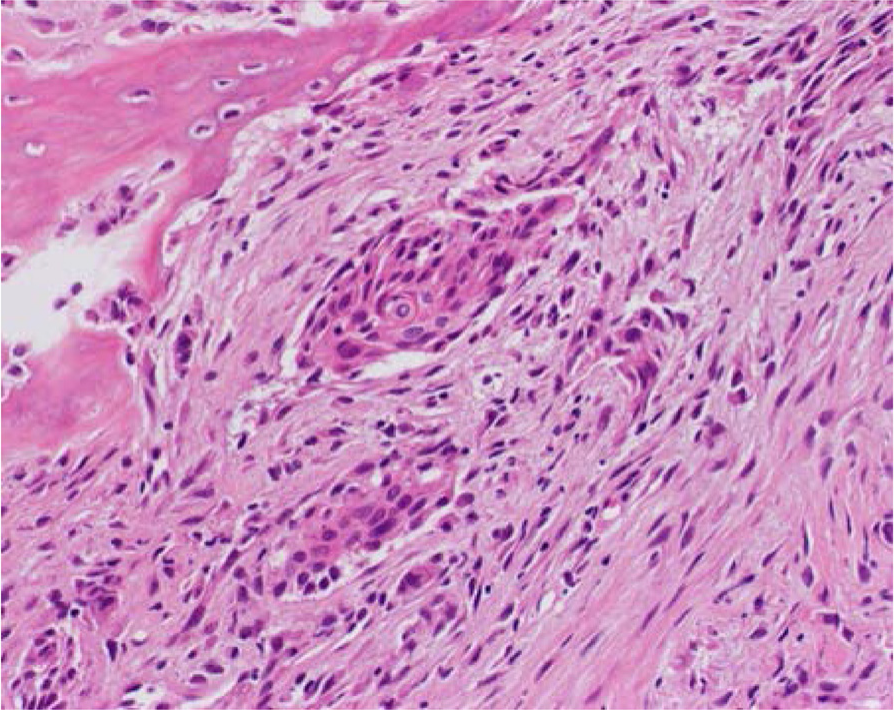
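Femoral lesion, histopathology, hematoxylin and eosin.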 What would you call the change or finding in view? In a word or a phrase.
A: squamous differentiation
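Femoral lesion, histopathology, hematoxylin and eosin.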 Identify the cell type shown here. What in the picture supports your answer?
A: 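Cohesive clusters of cells with oval nuclei and pink cytoplasm are set apart from the surrounding spindle cells. The answer: epithelial cells.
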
